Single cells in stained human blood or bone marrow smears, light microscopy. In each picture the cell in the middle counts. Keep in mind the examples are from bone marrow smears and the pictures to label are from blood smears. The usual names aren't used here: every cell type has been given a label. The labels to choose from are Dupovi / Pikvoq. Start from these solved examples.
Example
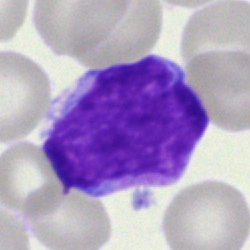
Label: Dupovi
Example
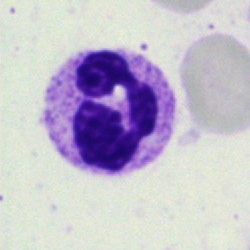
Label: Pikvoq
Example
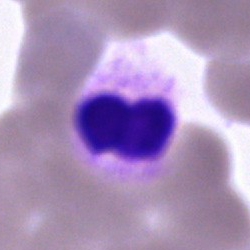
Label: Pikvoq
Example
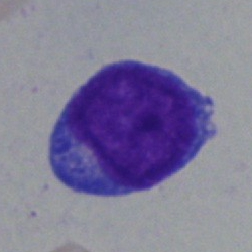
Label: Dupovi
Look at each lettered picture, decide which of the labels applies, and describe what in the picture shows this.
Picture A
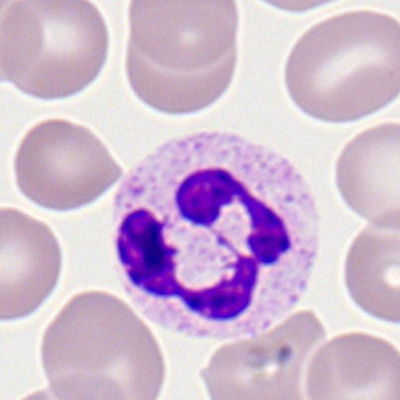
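Label: Pikvoq. The nuclear lobes curve around a pale central area of cytoplasm.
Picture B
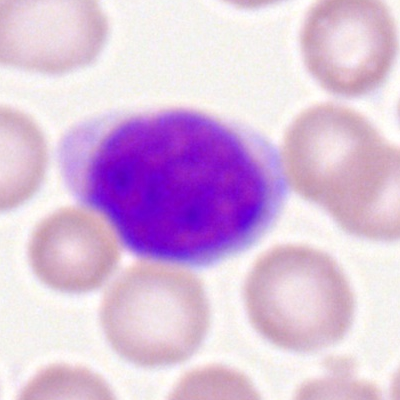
Label: Dupovi. The nucleus fills most of the cell.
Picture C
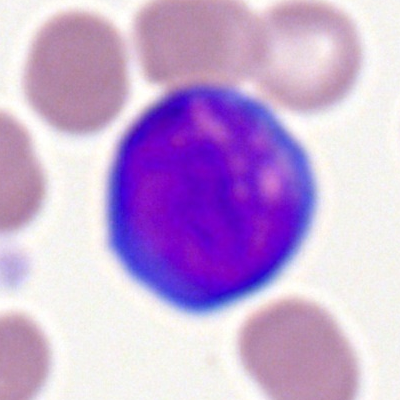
Label: Dupovi. The cytoplasm is a deep blue.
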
